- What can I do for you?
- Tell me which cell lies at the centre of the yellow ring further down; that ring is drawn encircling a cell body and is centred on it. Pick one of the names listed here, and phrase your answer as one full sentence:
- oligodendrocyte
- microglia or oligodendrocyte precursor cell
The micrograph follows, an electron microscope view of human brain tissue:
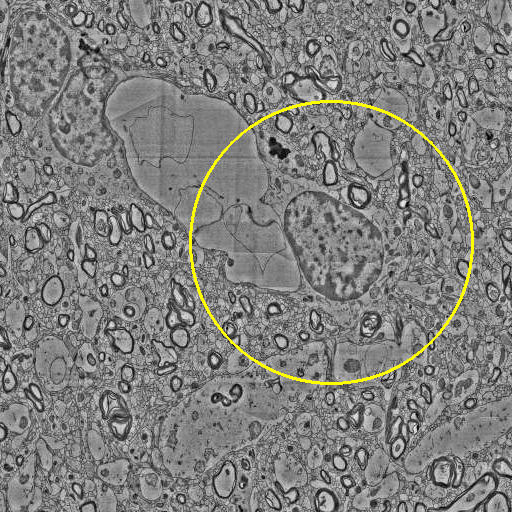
The cell whose body lies at the centre of the yellow ring is a microglial cell or oligodendrocyte precursor cell.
